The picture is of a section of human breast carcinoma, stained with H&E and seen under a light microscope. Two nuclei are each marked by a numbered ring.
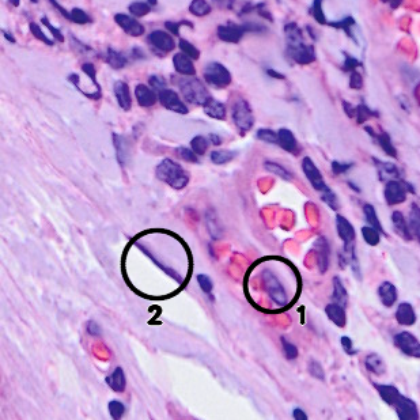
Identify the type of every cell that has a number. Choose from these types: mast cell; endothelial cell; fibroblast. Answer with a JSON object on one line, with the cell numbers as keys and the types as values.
{"1": "endothelial cell", "2": "fibroblast"}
